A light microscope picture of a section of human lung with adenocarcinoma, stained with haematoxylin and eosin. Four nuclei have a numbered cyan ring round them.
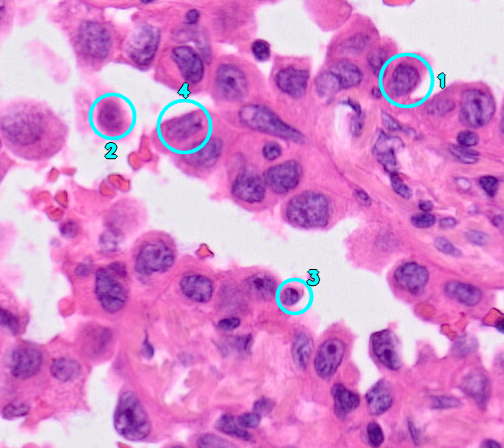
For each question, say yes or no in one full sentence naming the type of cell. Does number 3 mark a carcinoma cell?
No, the cell under number 3 is a lymphocyte, not a carcinoma cell.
